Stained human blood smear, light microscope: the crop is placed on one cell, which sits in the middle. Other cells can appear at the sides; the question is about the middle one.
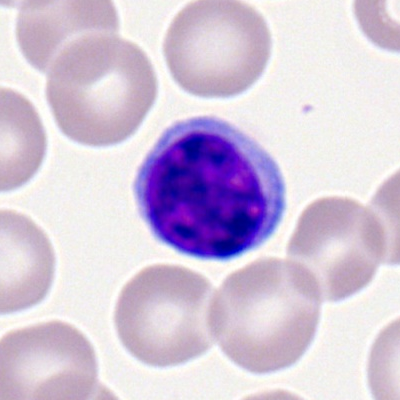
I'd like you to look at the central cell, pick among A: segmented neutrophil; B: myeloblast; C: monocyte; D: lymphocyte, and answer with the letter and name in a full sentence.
According to option D, which is correct, the cell in the middle is a lymphocyte.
